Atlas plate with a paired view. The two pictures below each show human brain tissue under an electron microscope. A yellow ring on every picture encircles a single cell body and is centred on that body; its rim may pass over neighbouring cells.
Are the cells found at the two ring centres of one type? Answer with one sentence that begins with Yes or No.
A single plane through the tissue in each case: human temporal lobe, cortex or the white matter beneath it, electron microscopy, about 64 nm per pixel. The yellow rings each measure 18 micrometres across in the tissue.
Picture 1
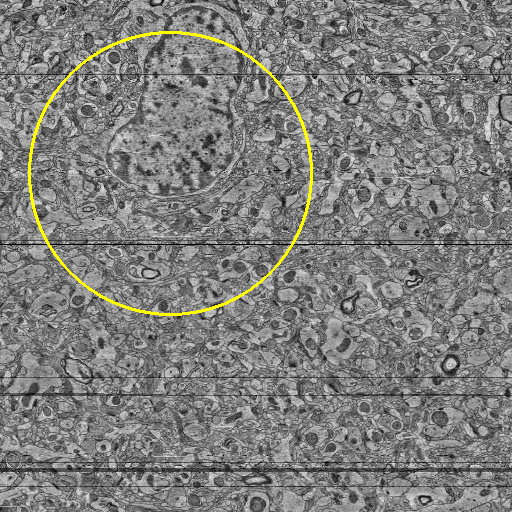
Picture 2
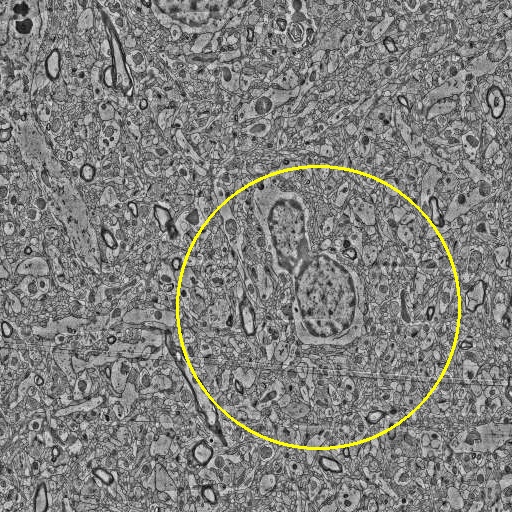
Yes, the two cells lying at the centres of the rings share a single type.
